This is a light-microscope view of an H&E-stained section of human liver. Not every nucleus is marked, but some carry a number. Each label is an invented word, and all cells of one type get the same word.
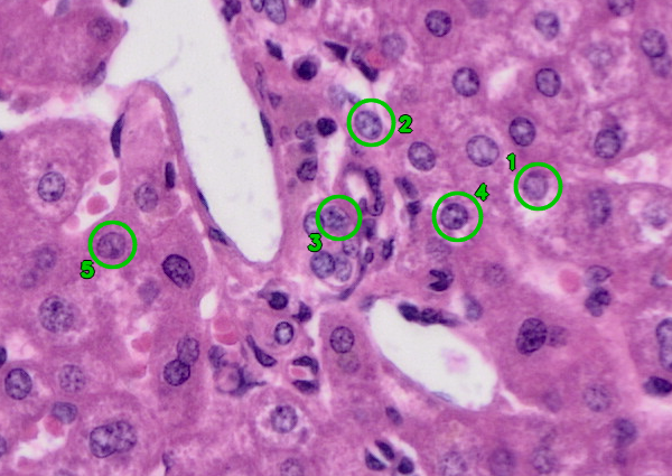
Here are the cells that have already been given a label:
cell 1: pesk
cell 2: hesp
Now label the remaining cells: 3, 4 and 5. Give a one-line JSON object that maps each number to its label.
{"3": "hesp", "4": "pesk", "5": "pesk"}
